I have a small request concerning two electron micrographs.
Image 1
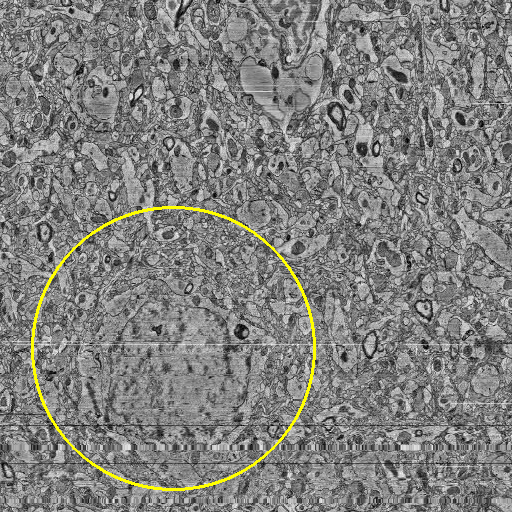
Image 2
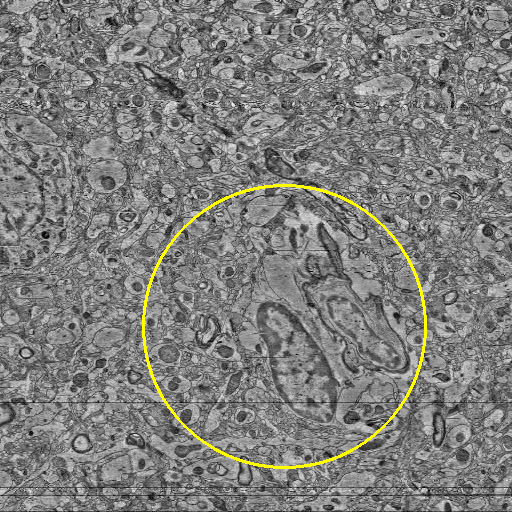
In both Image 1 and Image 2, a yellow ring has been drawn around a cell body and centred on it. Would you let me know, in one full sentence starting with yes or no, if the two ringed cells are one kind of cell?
No, the cells ringed in Image 1 and Image 2 are two kinds of cell.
